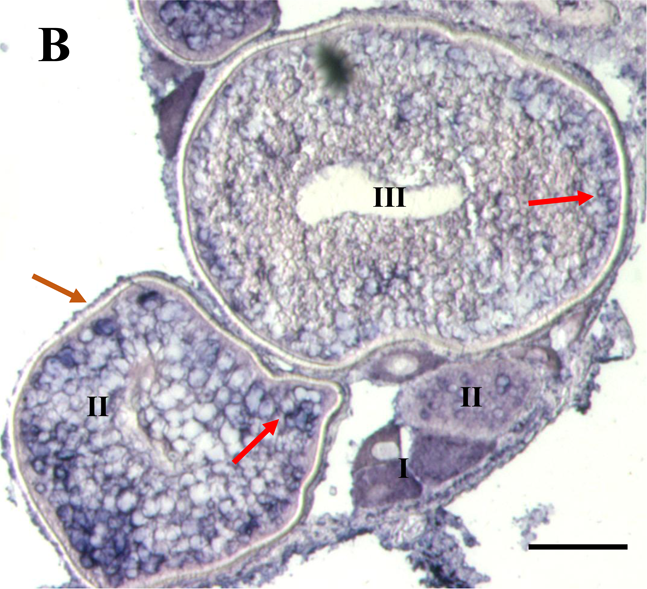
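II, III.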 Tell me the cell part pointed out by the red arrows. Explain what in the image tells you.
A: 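The arrows point to the outer rim of the large cells, just inside their thin envelope. The rim region carries denser purple staining than the interior. The answer: the oocyte cortex.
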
